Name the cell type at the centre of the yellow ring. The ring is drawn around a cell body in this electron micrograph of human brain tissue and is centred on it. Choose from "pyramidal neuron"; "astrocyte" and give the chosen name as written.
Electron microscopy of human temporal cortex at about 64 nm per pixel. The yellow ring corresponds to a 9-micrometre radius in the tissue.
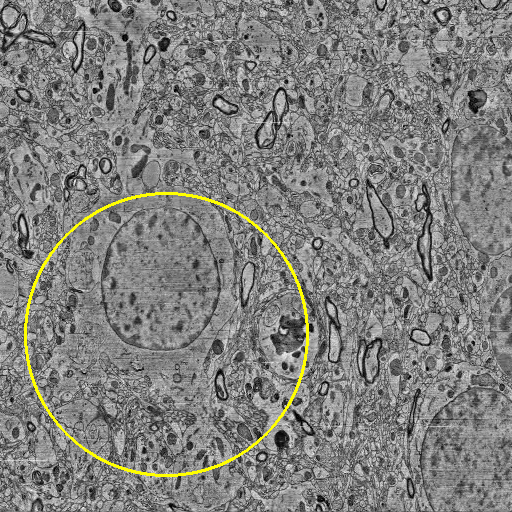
astrocyte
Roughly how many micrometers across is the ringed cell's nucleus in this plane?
Roughly 10 by 8 micrometres in this plane, for the nucleus of the ringed cell.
